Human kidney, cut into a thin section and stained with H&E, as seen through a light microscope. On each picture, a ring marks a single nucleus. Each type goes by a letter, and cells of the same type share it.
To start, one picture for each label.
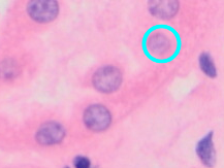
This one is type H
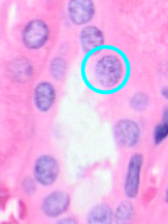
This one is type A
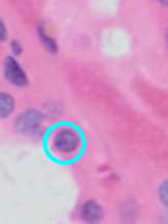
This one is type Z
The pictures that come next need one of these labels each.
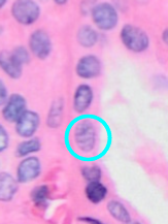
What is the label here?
type A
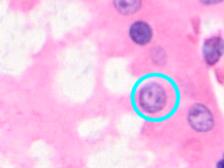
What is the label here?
type H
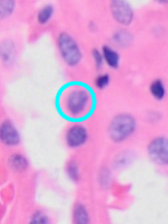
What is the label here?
type Z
